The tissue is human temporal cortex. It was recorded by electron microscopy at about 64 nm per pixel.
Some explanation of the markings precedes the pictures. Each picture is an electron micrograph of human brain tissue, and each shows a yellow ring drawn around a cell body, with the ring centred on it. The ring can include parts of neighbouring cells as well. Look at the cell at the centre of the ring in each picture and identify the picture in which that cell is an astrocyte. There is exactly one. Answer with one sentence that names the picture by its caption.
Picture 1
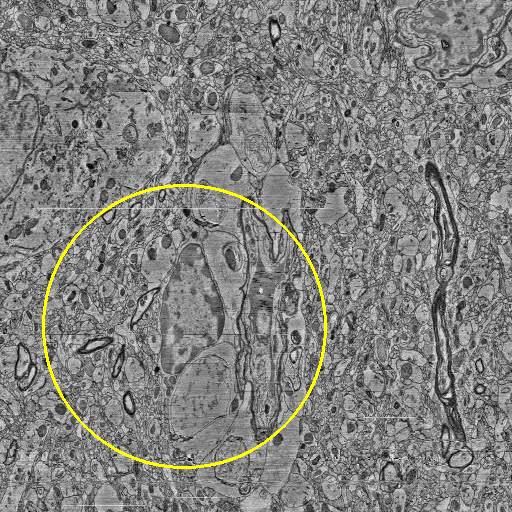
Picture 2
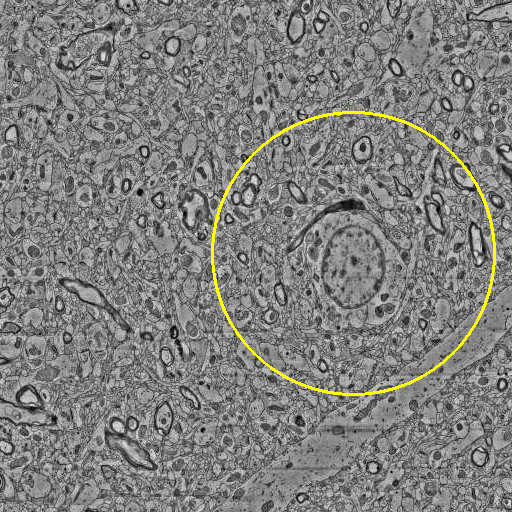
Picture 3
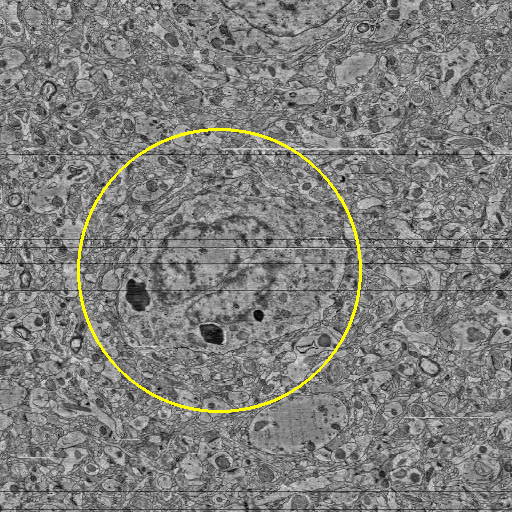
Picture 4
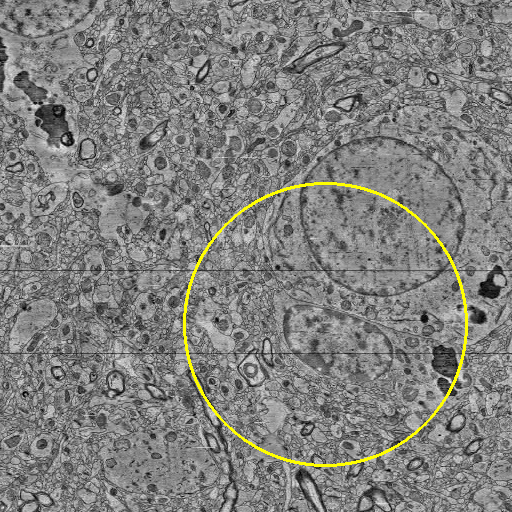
In Picture 2, the cell at the centre of the ring is of that kind.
